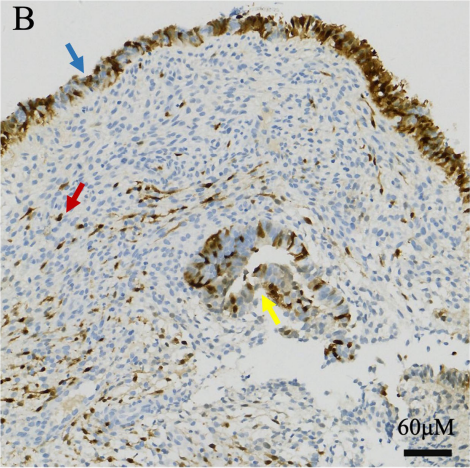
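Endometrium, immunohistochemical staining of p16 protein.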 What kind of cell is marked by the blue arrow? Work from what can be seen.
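Luminal epithelial cells. The arrow points at the continuous cell layer along the upper free surface of the tissue. This layer is a single row of columnar cells stained strongly brown.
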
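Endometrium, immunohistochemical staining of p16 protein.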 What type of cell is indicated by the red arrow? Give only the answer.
Stromal cells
